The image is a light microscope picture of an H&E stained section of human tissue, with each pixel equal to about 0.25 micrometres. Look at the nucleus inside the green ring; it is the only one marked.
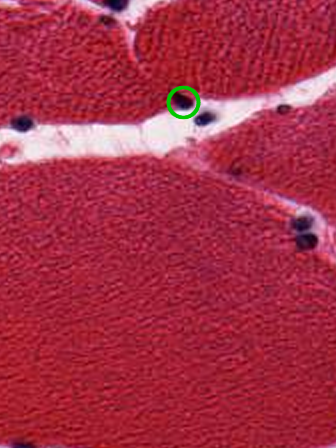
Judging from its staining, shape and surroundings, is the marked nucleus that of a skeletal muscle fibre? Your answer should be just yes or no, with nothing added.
yes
